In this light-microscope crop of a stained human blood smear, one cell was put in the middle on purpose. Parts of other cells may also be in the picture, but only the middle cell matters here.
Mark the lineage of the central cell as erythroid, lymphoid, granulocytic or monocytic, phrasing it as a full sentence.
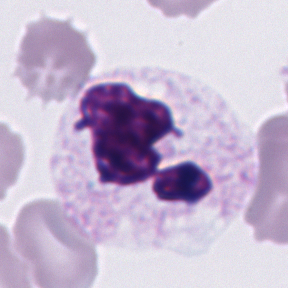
The lineage of the cell at the center of the crop is granulocytic.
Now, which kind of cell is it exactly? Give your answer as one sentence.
The middle of this crop is occupied by a segmented neutrophil.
